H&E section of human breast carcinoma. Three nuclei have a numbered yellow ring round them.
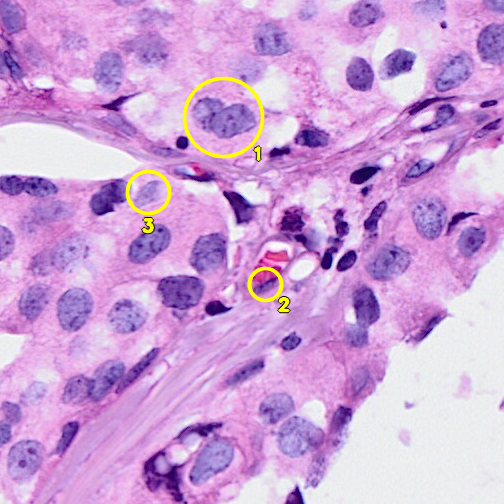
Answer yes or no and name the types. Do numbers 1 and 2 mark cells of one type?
No, cell 1 is a carcinoma cell; cell 2 is an endothelial cell.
